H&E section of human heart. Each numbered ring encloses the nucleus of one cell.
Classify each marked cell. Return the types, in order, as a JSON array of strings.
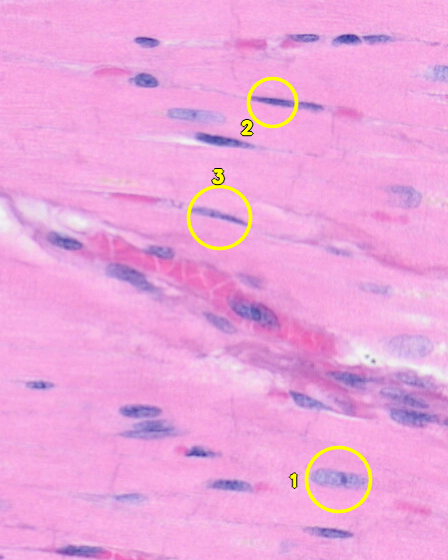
["cardiomyocyte", "fibroblast", "endothelial cell"]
